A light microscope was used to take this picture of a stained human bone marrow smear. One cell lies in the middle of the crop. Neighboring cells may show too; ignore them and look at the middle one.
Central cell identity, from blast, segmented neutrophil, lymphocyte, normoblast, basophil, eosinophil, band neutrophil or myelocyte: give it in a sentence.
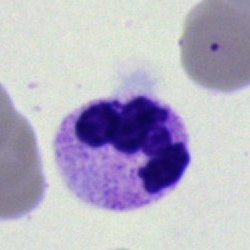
Of the cells in this crop, the central one is a segmented neutrophil.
